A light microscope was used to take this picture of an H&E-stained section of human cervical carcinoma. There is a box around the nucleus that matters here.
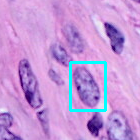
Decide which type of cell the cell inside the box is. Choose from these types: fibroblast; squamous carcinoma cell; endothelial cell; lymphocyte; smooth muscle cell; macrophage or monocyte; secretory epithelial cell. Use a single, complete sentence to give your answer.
Histopathologically, the cell inside the box is an endothelial cell.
